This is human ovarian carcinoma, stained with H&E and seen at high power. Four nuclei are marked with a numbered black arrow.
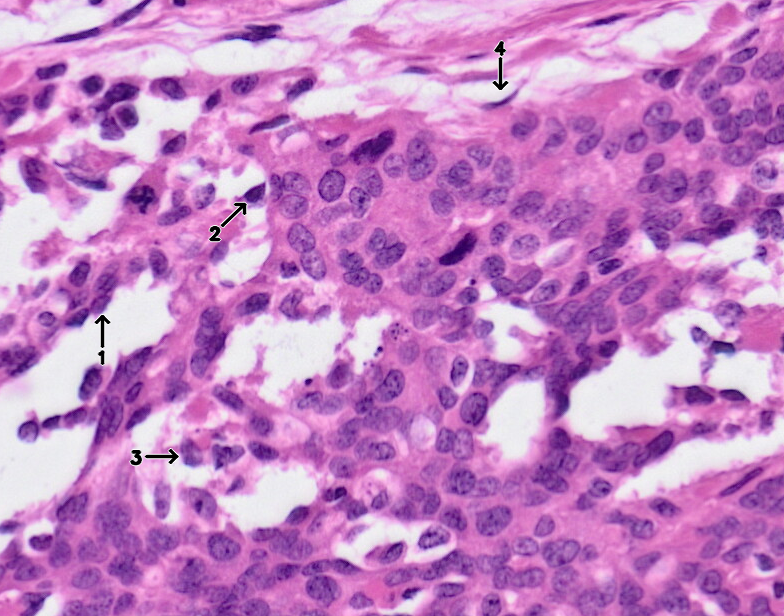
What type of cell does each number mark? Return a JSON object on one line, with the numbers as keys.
{"1": "carcinoma cell", "2": "carcinoma cell", "3": "carcinoma cell", "4": "fibroblast"}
